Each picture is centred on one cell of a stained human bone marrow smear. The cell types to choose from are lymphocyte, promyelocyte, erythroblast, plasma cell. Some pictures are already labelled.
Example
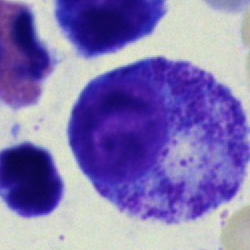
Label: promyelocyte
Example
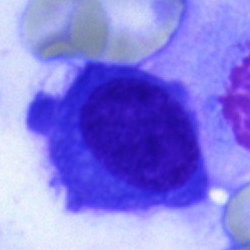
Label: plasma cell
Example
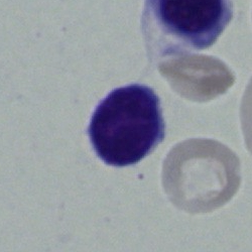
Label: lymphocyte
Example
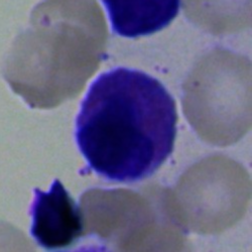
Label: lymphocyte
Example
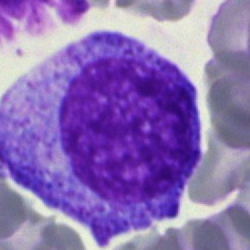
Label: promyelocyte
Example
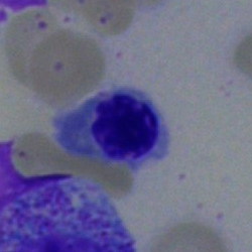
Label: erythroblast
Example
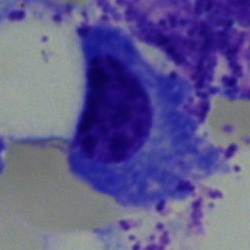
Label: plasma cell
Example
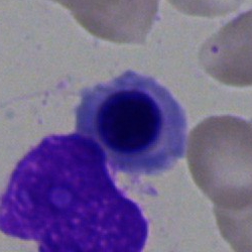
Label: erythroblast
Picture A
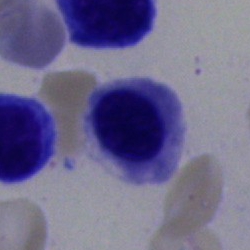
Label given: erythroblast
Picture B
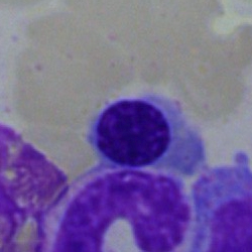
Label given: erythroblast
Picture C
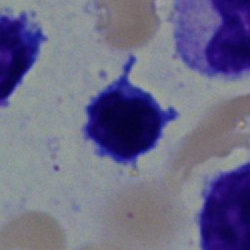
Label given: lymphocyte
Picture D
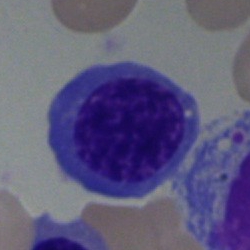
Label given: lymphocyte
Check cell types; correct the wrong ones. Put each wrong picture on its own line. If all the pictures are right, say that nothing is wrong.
D is labelled lymphocyte; correct label: erythroblast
